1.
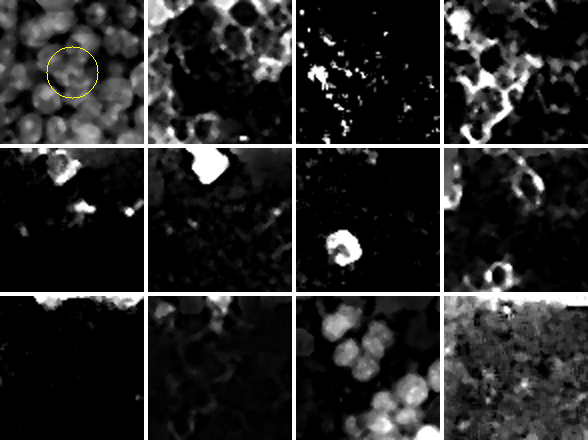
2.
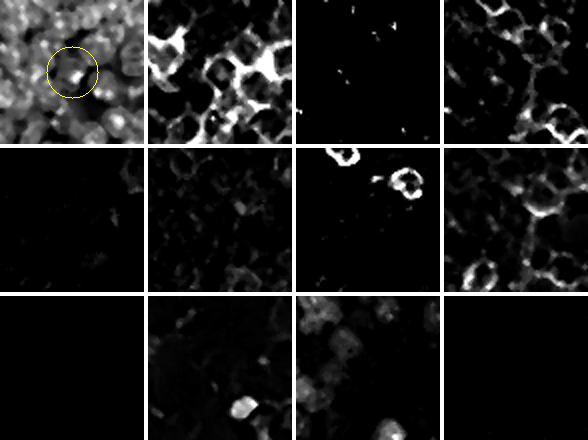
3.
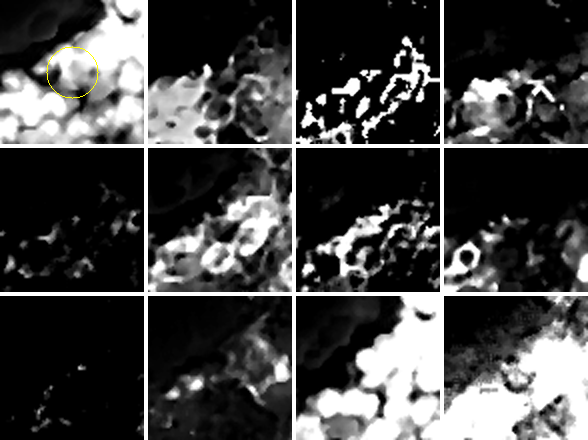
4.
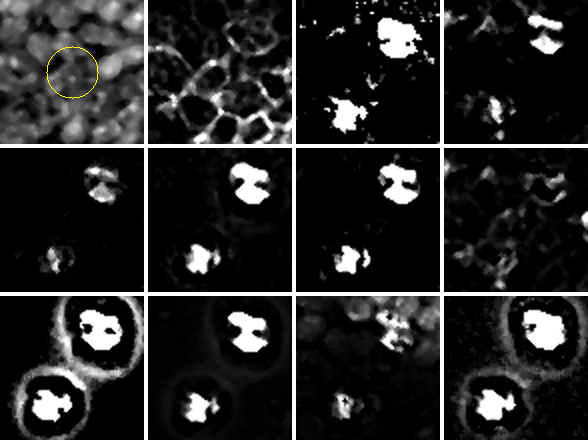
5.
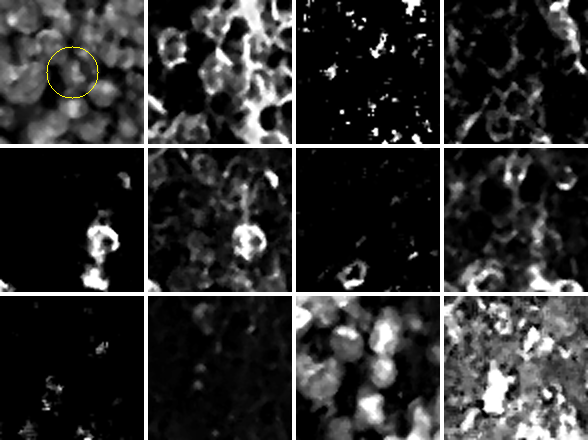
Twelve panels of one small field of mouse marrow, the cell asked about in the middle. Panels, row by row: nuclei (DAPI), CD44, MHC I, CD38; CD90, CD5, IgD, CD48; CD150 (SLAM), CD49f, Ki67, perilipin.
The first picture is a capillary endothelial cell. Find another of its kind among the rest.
Picture 3.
